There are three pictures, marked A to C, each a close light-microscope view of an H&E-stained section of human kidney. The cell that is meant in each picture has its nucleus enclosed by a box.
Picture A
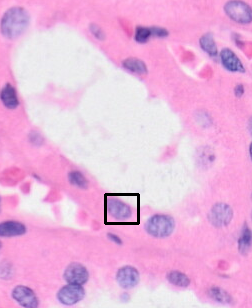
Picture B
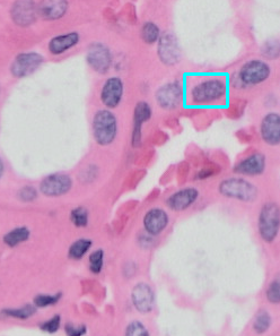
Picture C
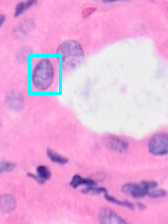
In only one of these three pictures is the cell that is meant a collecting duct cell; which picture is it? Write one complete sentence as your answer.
Picture B shows the collecting duct cell.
